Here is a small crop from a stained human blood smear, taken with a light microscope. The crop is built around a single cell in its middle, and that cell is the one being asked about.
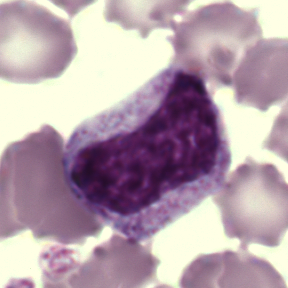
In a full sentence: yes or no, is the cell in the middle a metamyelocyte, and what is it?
Yes, the cell centred in this crop is a metamyelocyte.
